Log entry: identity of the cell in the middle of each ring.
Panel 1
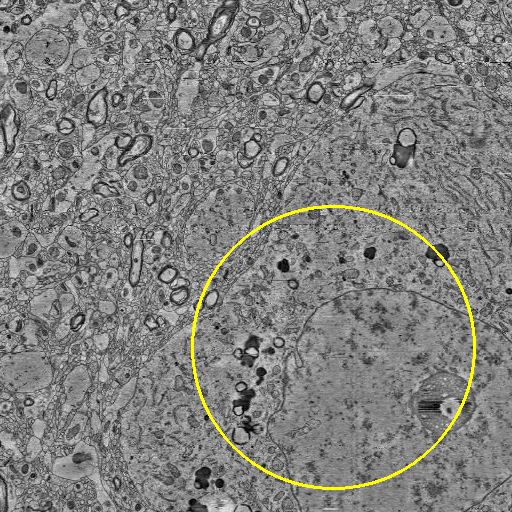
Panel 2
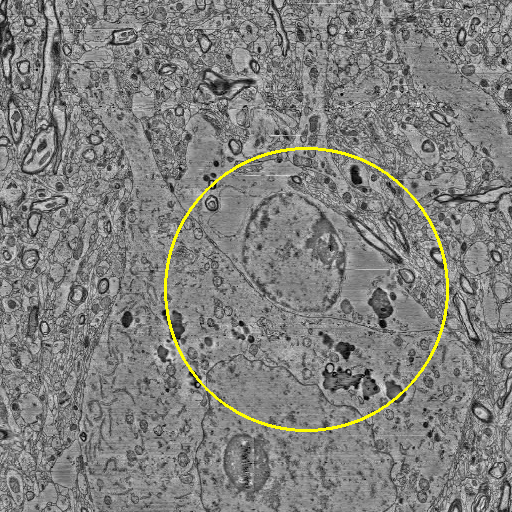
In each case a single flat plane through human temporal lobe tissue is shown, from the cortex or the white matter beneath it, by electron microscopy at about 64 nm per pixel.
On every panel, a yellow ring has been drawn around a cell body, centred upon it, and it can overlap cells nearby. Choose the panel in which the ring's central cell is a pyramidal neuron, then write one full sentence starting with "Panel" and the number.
Panel 1 shows the requested cell sitting in the middle of its ring.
